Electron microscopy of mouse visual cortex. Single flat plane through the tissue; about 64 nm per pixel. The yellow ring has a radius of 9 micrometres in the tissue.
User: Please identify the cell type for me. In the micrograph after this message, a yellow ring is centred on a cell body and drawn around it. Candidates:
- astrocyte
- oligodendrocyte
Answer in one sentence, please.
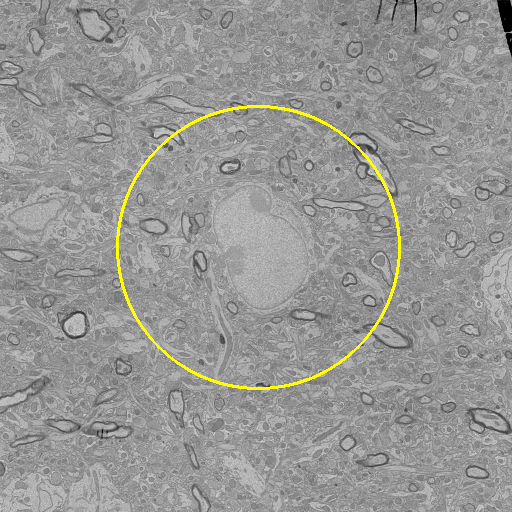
The ring is drawn around the cell body of an astrocyte.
